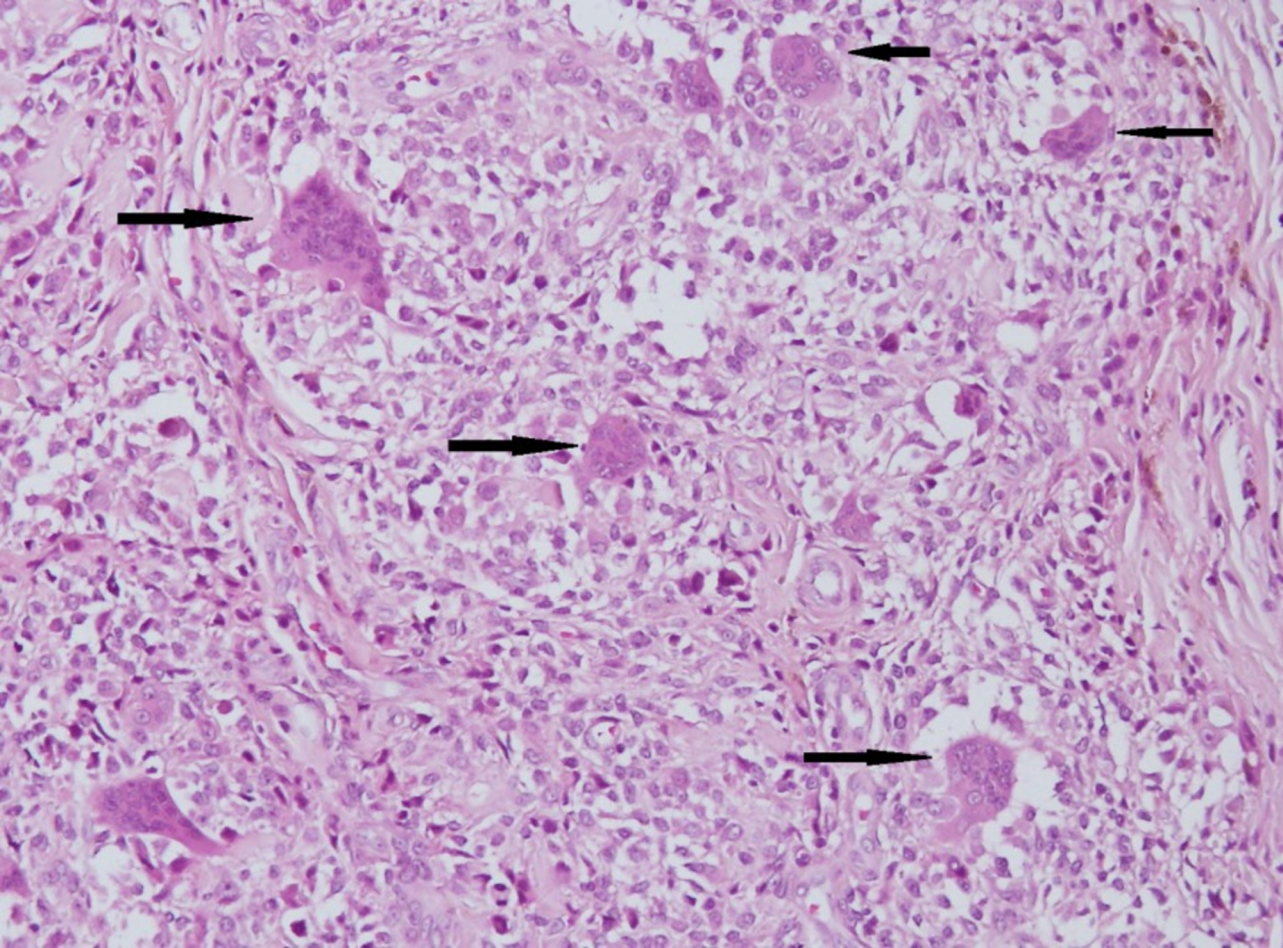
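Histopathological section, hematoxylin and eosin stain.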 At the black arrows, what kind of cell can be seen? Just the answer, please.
Multinucleated giant cells.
